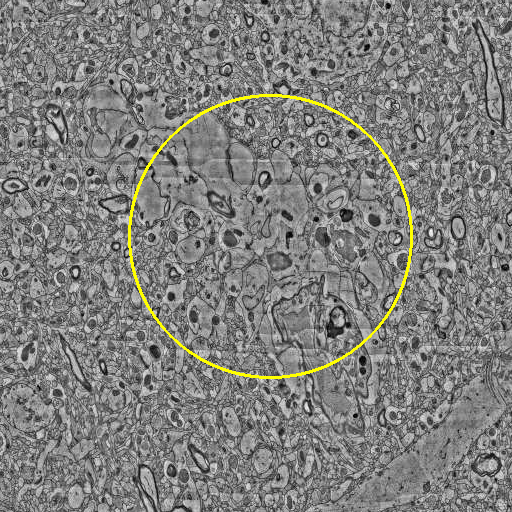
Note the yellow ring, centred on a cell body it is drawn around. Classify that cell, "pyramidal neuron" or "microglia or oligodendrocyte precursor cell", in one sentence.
The cell the ring is centred on is a microglial cell or oligodendrocyte precursor cell.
